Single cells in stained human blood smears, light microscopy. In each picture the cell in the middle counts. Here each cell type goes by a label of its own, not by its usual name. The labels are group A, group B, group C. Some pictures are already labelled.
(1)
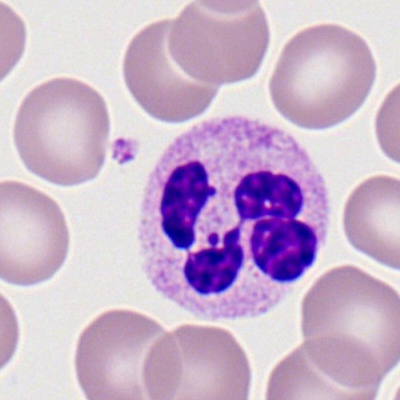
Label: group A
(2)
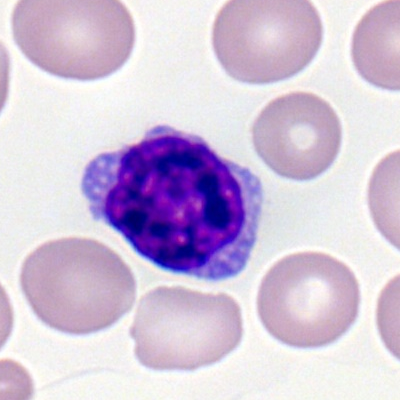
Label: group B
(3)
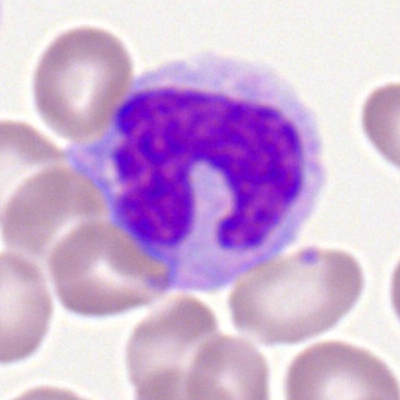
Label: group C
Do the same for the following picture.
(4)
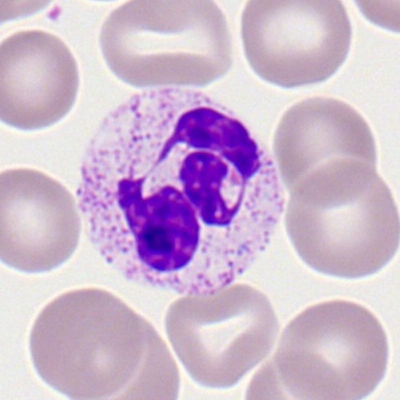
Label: group A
